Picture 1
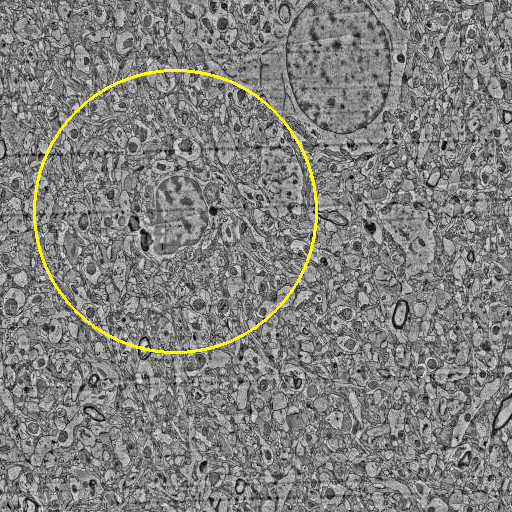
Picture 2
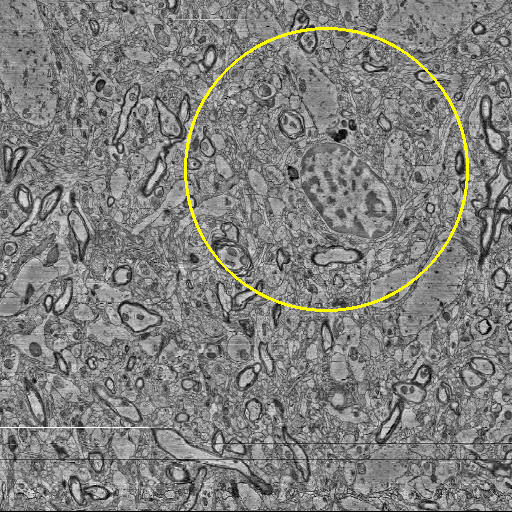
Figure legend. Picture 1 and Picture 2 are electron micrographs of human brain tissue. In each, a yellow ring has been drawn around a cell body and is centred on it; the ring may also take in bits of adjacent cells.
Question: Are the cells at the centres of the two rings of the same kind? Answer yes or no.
yes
